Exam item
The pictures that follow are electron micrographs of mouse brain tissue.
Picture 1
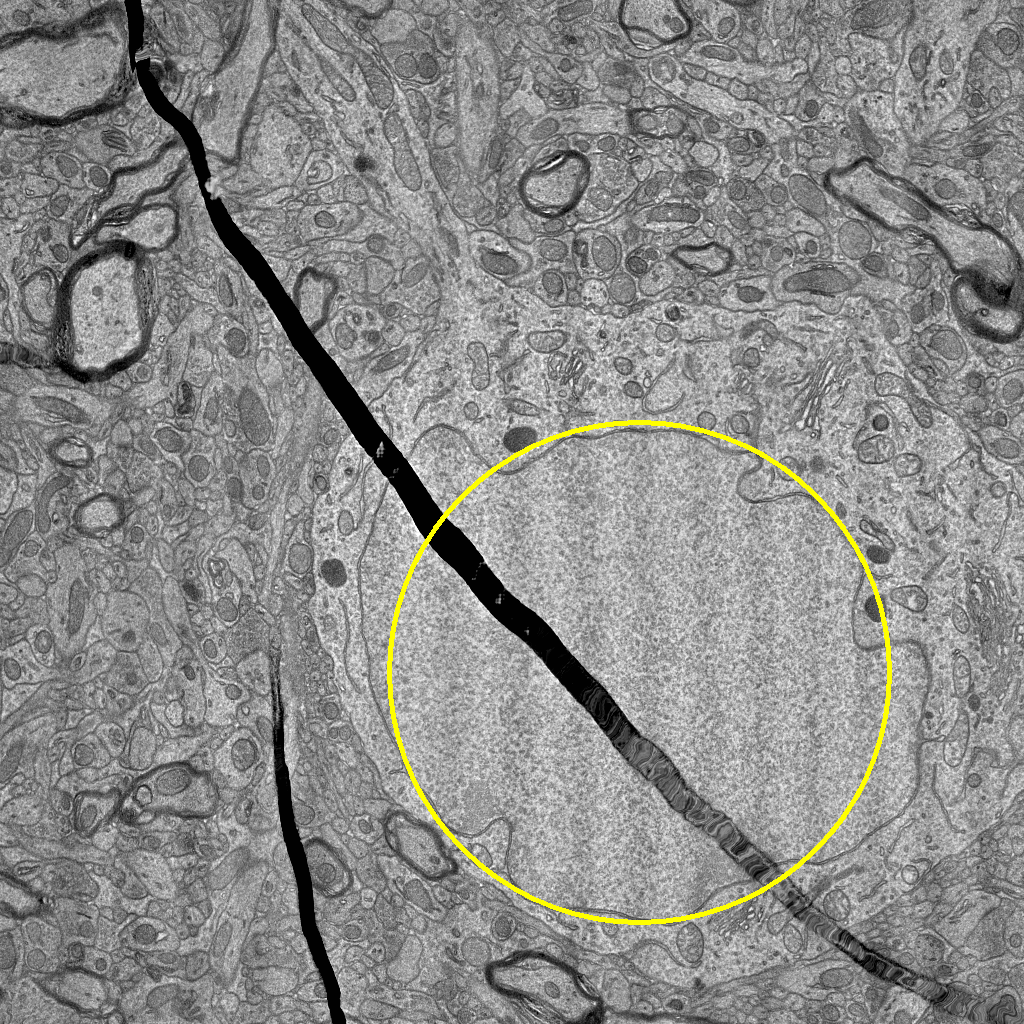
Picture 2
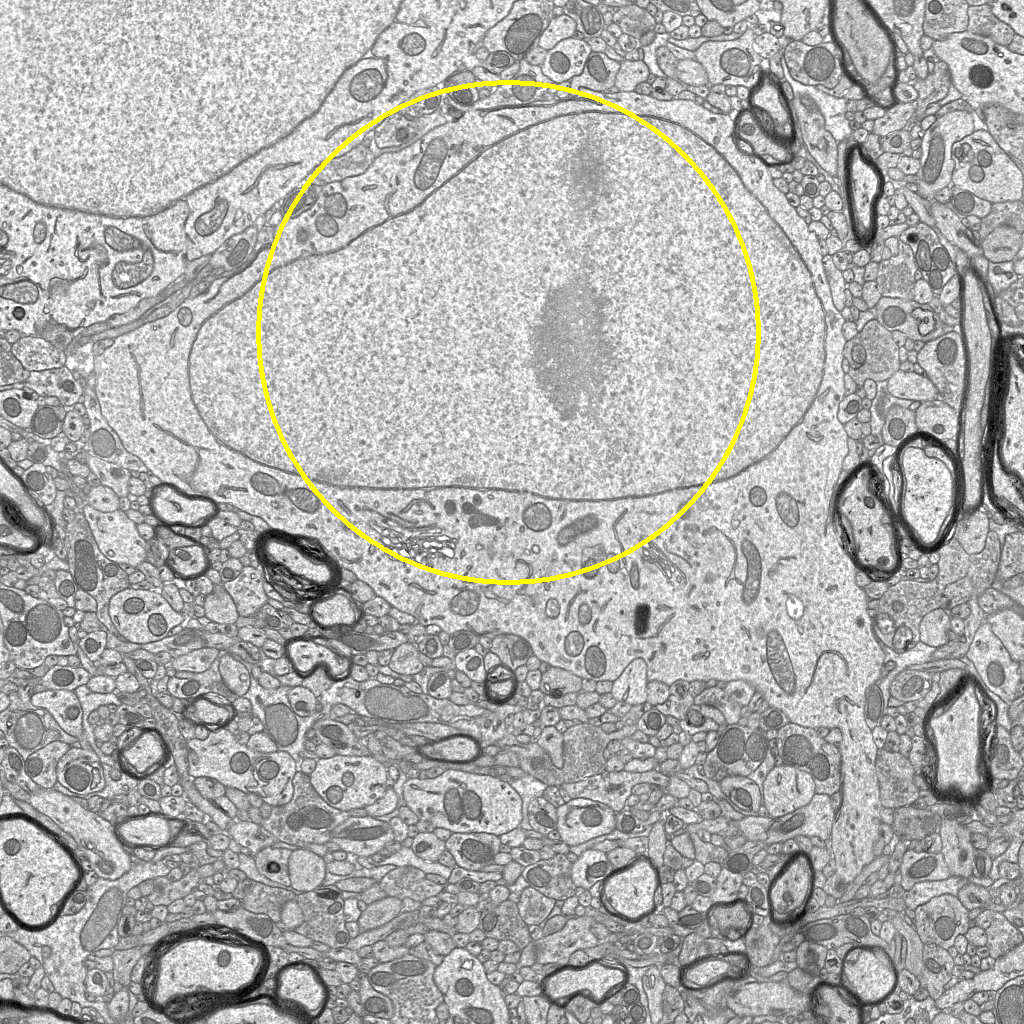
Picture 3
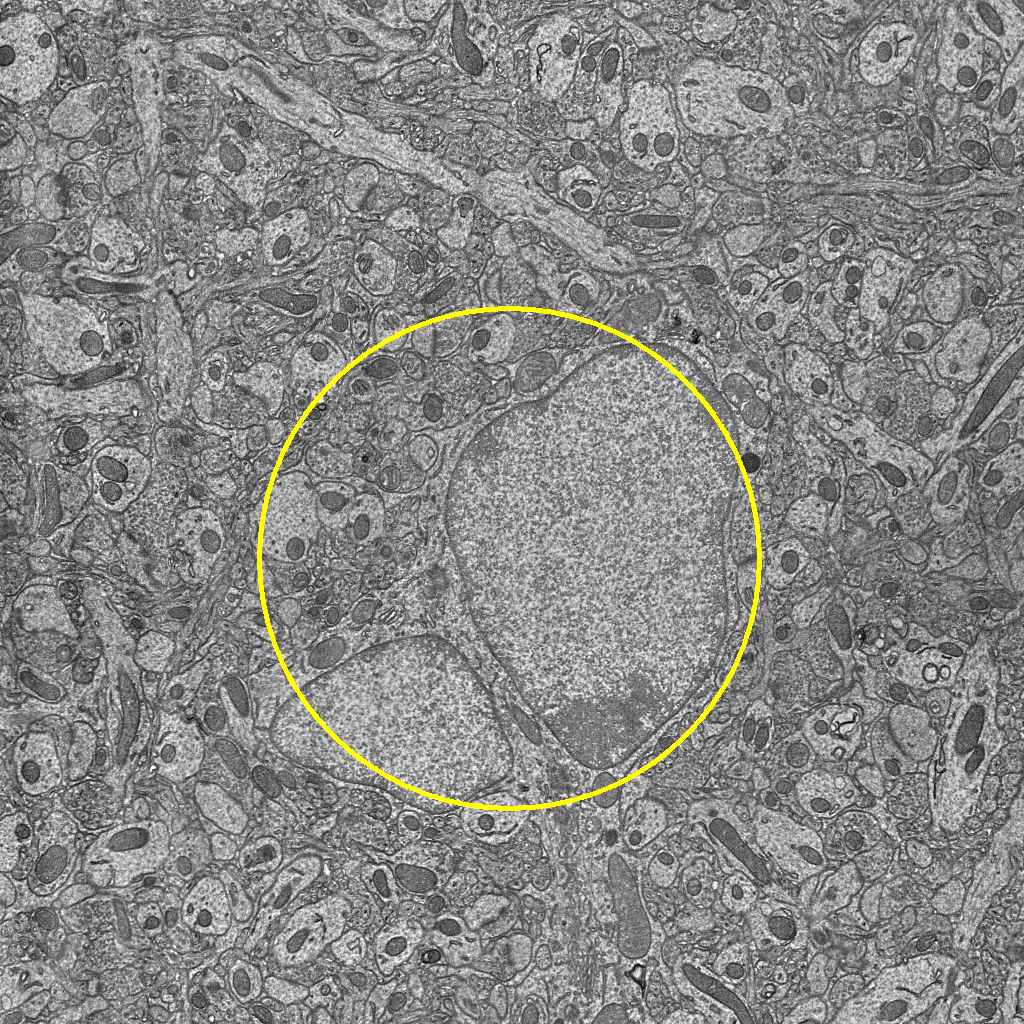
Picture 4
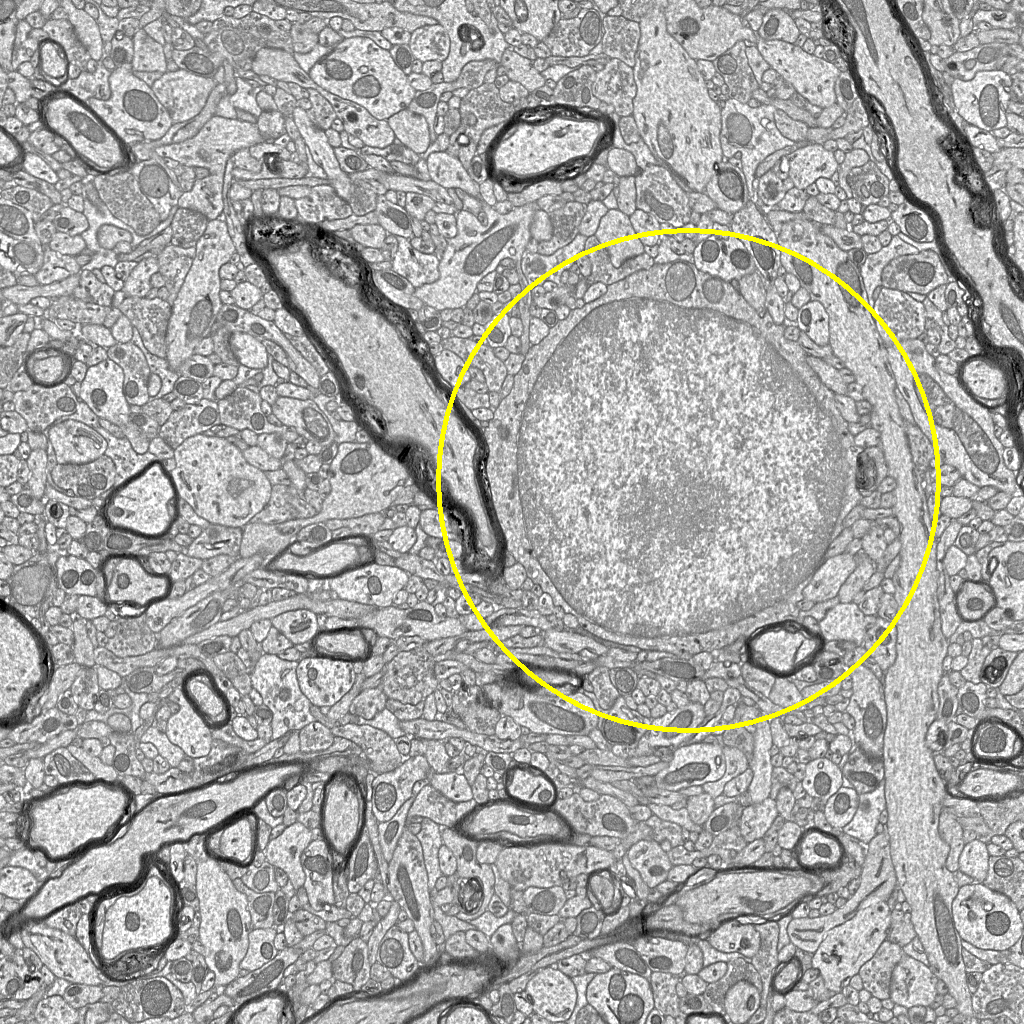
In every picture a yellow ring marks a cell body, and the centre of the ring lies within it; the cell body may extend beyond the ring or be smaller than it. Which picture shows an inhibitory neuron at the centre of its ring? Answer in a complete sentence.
The cell at the centre of the ring in Picture 1 is the one asked for.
